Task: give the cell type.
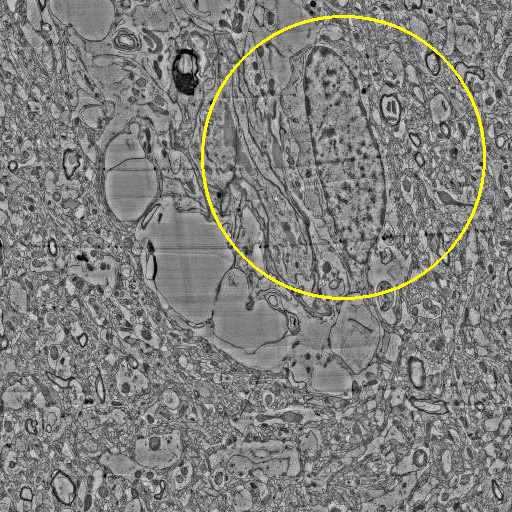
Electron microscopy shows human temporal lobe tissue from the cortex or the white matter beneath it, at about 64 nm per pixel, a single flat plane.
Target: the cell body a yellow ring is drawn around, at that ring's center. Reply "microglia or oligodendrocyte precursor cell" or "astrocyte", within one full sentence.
In this picture, the cell whose body lies at the ring's center is a microglial cell or oligodendrocyte precursor cell.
